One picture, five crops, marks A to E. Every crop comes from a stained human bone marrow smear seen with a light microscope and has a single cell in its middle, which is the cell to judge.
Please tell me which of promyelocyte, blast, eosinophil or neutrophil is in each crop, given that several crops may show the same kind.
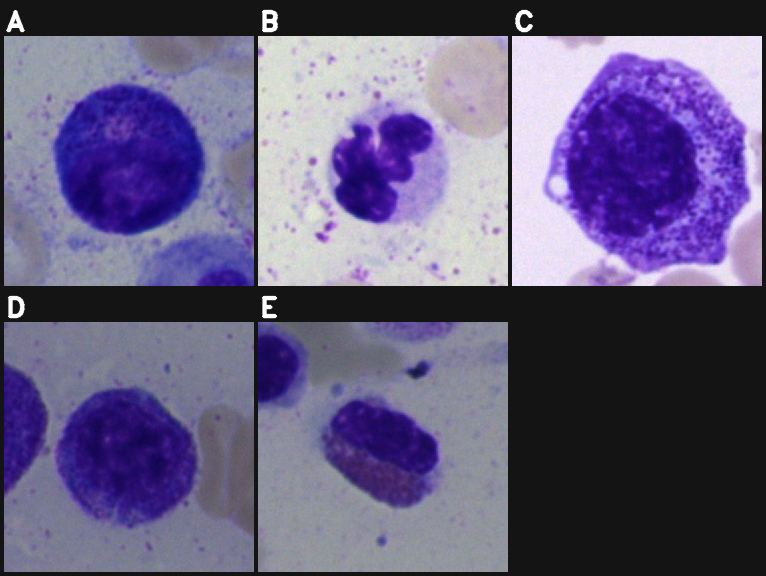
A: promyelocyte
B: neutrophil
C: promyelocyte
D: promyelocyte
E: eosinophil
